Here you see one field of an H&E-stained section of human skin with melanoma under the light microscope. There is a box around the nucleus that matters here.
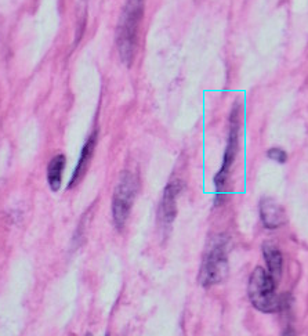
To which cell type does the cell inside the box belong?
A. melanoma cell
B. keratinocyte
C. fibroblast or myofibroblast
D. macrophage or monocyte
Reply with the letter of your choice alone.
C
